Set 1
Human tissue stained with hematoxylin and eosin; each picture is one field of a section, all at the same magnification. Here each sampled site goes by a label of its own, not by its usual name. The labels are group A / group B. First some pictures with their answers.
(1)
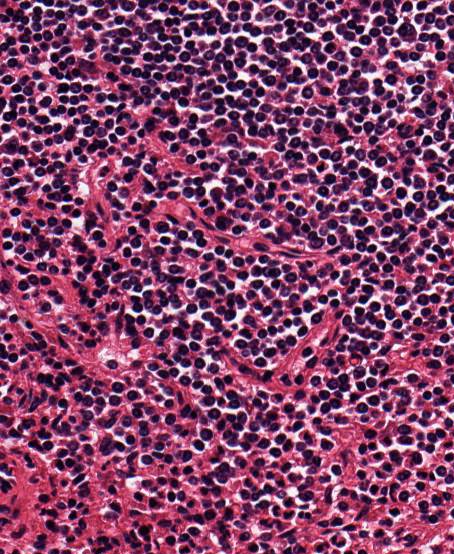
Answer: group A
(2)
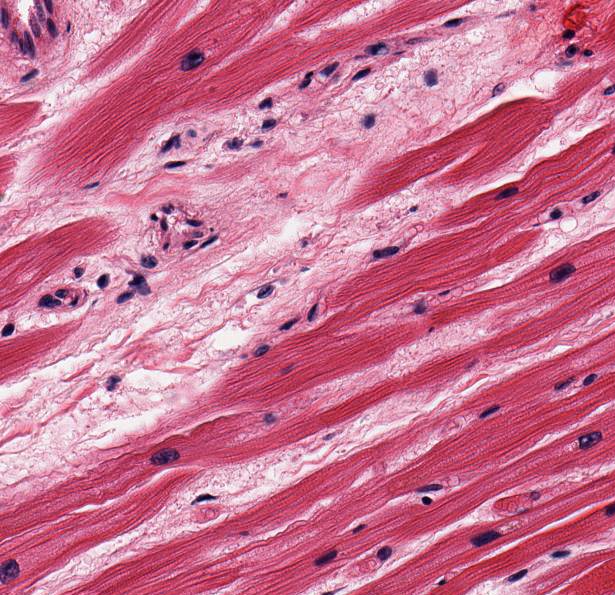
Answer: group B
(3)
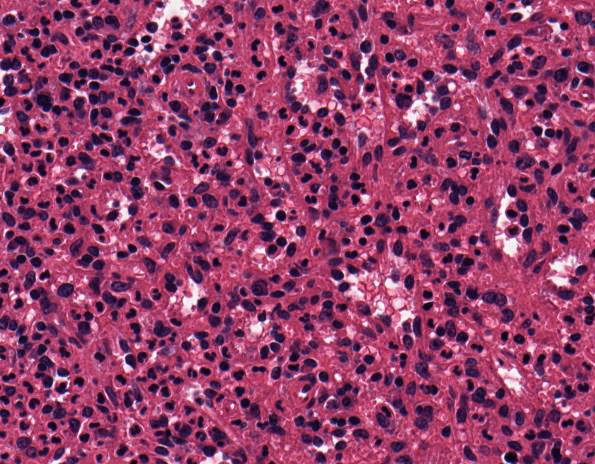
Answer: group A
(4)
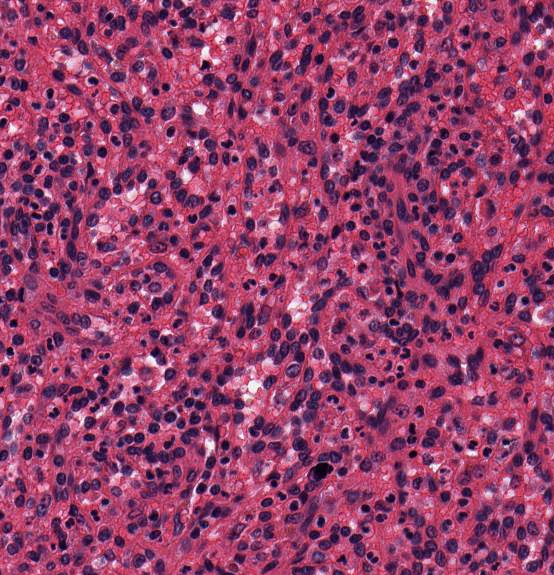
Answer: group A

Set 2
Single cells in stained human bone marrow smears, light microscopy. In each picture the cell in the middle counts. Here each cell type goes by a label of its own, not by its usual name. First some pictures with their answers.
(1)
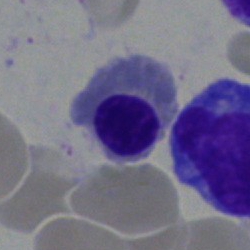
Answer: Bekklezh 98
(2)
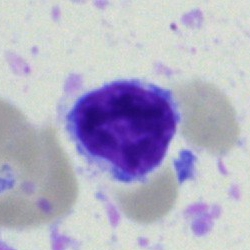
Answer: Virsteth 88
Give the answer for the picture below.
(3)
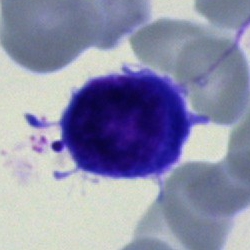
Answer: Virsteth 88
